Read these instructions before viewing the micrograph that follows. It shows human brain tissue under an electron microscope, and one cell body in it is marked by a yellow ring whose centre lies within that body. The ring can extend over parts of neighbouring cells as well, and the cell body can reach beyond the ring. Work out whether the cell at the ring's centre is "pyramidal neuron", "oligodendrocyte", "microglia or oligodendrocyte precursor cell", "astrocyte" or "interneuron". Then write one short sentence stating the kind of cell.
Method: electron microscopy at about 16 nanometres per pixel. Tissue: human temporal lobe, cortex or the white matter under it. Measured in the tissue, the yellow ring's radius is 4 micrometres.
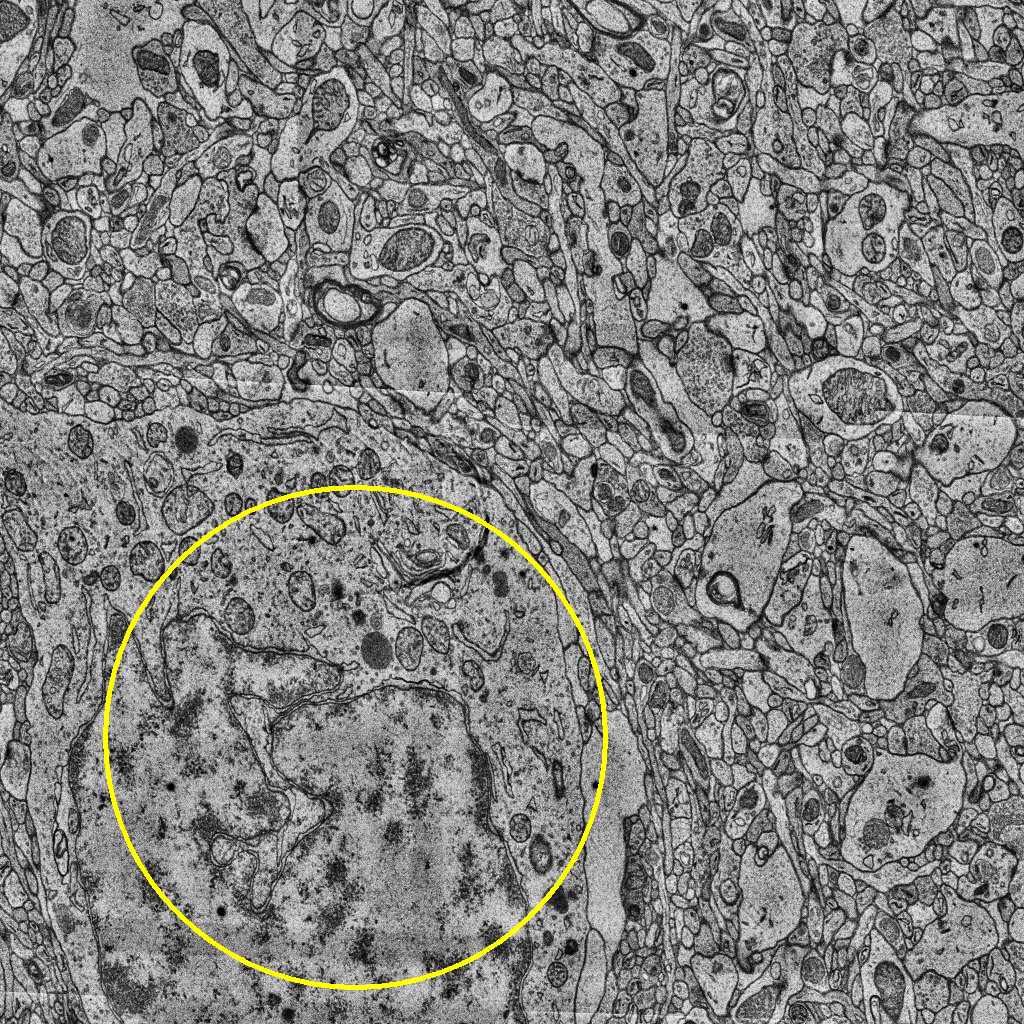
The cell at the ring's centre is an interneuron.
